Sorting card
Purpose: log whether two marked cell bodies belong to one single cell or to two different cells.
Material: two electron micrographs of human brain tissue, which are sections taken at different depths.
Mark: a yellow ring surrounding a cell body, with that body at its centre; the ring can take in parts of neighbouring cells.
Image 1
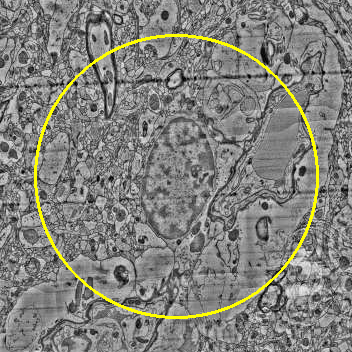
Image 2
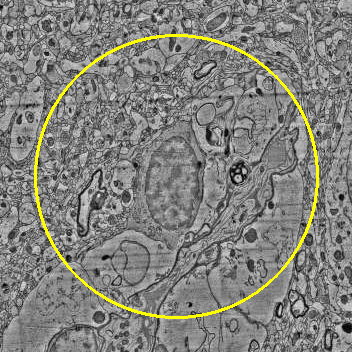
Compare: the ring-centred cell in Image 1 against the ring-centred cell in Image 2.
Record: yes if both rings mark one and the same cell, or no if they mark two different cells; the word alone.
yes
